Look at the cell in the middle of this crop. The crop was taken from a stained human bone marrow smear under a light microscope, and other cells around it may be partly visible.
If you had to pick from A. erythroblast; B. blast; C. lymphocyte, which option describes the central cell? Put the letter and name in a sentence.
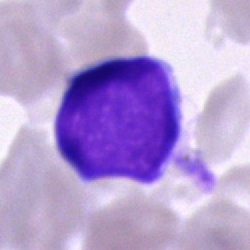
The best answer is option B, since the cell in the middle is a blast.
